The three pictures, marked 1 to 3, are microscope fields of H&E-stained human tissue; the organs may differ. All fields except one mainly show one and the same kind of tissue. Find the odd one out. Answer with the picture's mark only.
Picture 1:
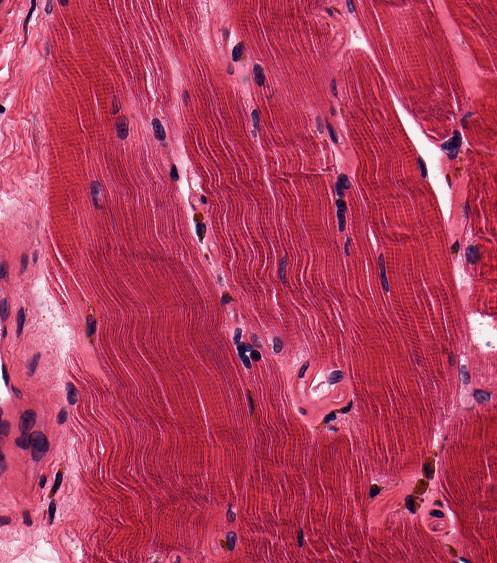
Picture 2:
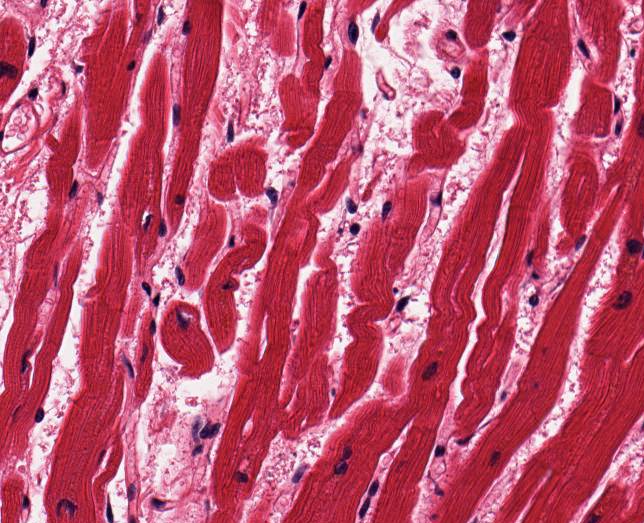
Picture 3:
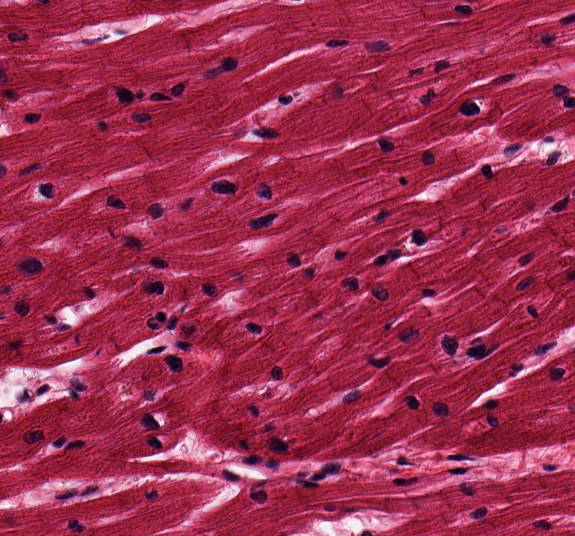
1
